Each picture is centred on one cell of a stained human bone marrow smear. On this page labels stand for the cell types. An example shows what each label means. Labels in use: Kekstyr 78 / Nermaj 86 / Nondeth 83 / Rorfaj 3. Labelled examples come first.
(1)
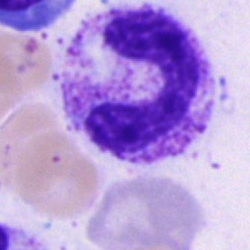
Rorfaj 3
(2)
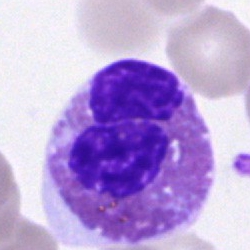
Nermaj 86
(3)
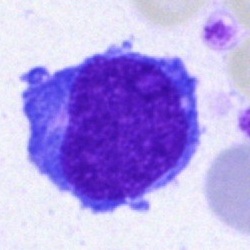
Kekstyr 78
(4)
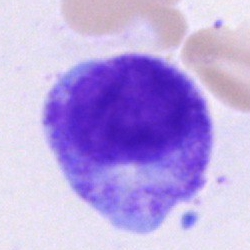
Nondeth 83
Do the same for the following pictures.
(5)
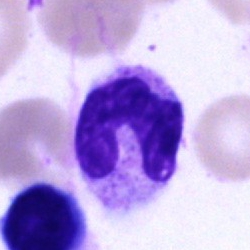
Rorfaj 3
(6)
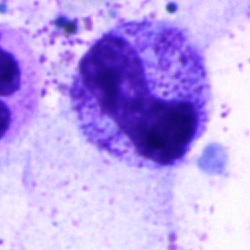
Rorfaj 3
